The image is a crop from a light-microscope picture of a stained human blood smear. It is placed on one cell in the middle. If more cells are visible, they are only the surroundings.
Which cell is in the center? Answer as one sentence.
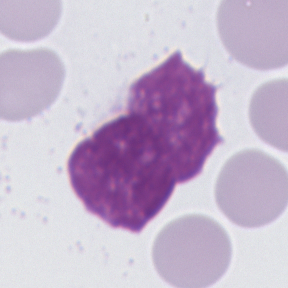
The middle position in this crop is taken by a smudge cell.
